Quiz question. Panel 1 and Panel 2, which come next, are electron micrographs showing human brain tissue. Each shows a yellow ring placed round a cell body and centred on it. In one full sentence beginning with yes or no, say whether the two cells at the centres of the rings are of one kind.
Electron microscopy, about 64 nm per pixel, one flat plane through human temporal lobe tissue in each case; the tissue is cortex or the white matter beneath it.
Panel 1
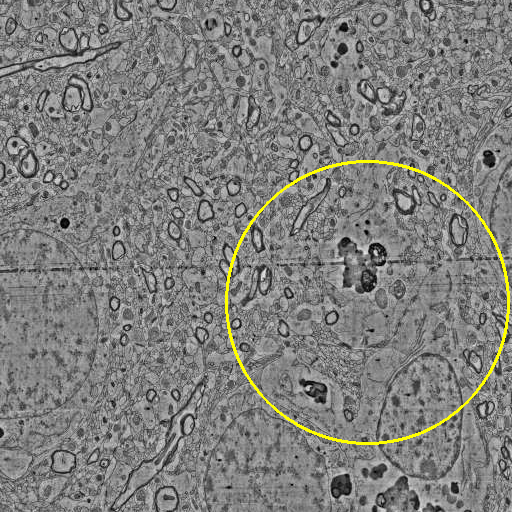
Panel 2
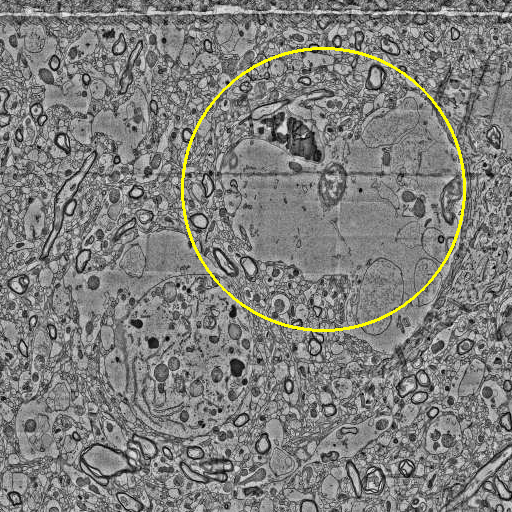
Yes, Panel 1 and Panel 2 show one kind of cell at the centre of the ring.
